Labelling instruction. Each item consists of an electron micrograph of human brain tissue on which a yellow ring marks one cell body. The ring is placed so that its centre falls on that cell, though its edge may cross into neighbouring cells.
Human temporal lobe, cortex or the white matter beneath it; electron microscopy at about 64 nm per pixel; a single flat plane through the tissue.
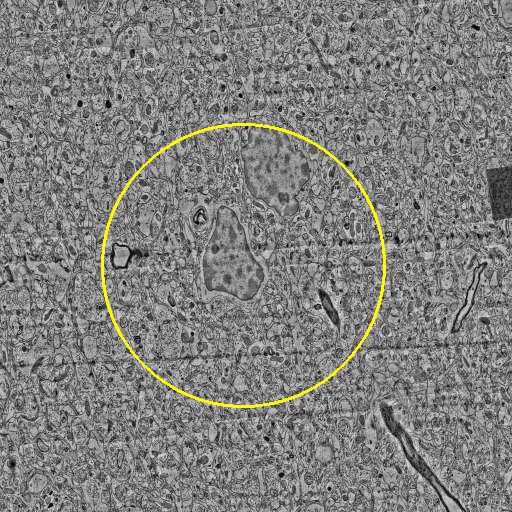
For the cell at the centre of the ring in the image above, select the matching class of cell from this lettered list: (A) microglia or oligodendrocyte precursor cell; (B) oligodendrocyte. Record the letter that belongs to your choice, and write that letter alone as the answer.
A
